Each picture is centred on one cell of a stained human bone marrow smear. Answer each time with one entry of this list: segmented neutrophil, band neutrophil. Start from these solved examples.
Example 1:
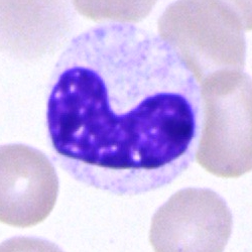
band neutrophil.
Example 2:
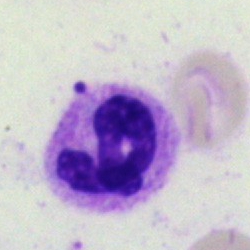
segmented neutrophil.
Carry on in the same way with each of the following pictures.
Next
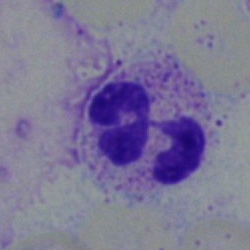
segmented neutrophil.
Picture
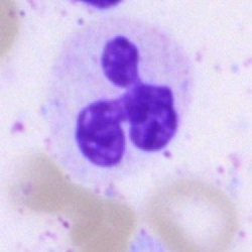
segmented neutrophil.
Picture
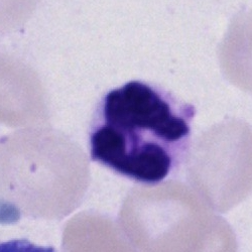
segmented neutrophil.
